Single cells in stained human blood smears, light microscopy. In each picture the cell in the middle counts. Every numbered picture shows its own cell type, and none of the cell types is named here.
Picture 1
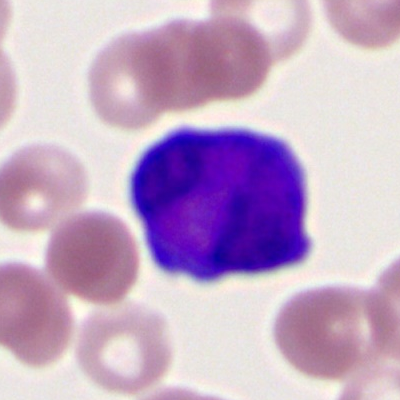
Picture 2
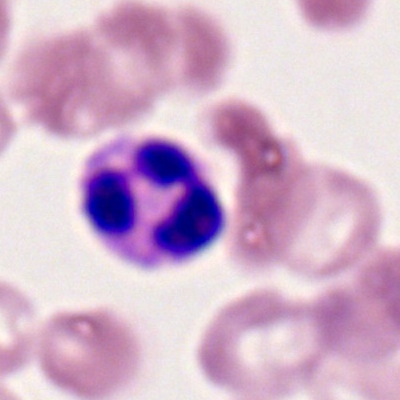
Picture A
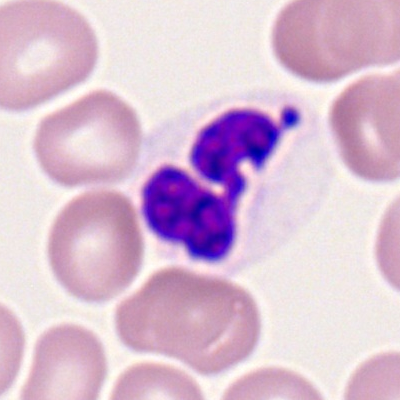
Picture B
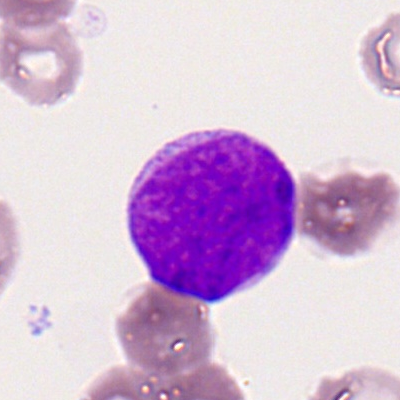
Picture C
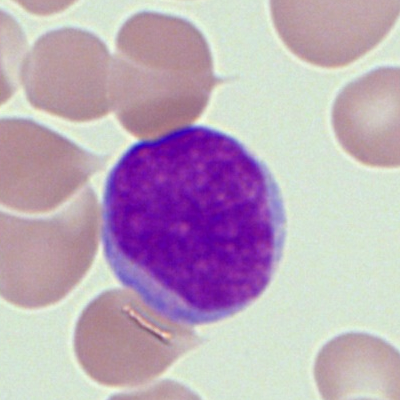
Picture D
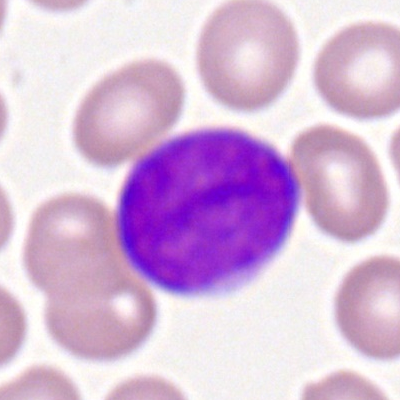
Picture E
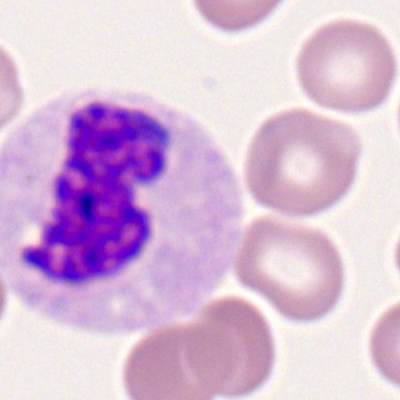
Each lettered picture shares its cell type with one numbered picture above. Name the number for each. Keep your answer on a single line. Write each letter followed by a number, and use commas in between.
A 2, B 1, C 1, D 1, E 2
